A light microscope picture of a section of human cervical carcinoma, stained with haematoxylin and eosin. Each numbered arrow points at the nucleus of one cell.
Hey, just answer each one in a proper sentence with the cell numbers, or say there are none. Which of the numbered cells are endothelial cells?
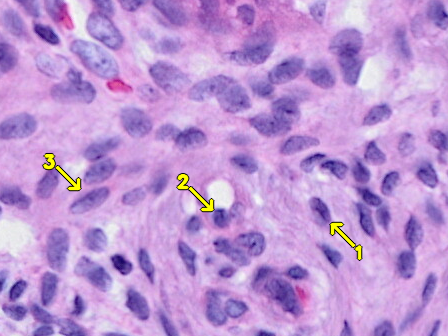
Cell number 2 alone is an endothelial cell; the rest are not.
